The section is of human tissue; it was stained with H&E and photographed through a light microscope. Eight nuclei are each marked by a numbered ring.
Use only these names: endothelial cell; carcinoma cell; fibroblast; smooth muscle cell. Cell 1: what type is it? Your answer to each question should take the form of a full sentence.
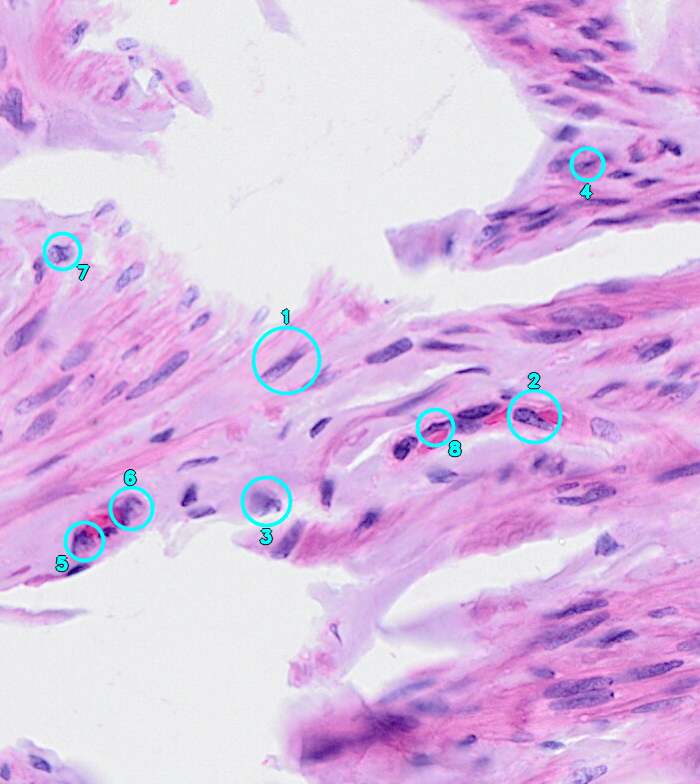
Number 1 among the marked cells is a smooth muscle cell.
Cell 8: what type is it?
The one numbered 8 among the marked cells is an endothelial cell.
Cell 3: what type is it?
The cell that bears the number 3 is a fibroblast.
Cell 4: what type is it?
The mark numbered 4 indicates the nucleus of a smooth muscle cell.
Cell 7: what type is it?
The cell that carries the label 7 is a fibroblast.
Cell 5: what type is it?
The cell that is numbered 5 is an endothelial cell.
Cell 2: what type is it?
The cell pointed out by number 2 is an endothelial cell.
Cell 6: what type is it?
The cell that bears the number 6 is an endothelial cell.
